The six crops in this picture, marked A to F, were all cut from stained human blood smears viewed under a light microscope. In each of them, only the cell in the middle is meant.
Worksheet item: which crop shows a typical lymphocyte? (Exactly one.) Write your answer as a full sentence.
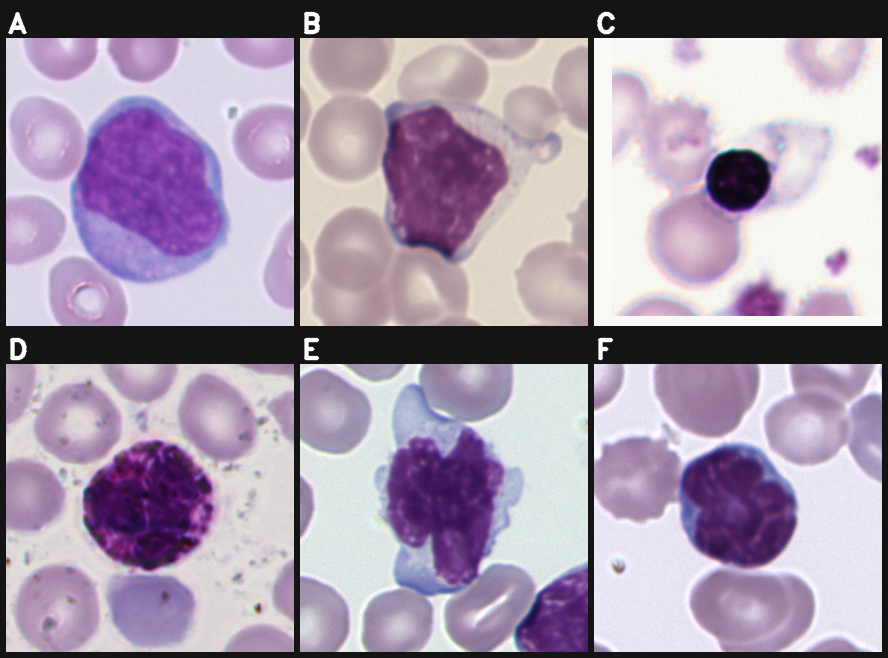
So the crop with a typical lymphocyte at its center is crop F.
